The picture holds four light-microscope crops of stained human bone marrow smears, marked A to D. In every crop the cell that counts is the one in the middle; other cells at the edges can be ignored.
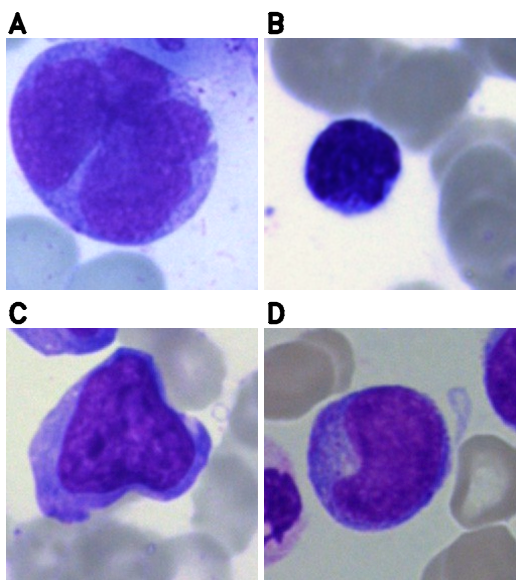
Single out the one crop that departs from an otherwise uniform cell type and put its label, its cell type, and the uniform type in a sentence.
Crop B differs: it is a lymphocyte, and all the other crops show blasts.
